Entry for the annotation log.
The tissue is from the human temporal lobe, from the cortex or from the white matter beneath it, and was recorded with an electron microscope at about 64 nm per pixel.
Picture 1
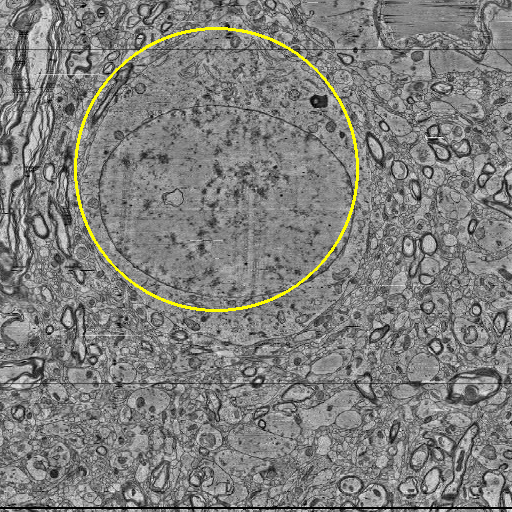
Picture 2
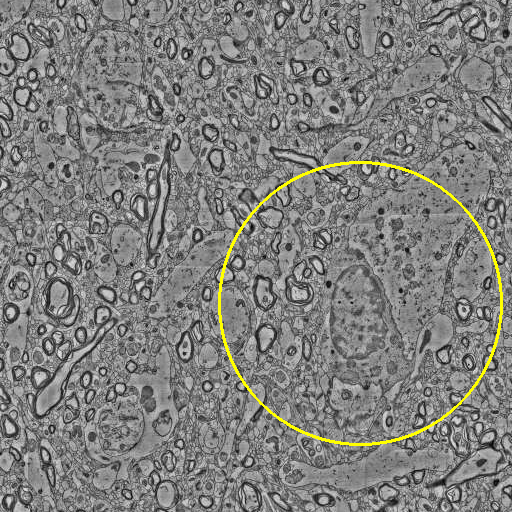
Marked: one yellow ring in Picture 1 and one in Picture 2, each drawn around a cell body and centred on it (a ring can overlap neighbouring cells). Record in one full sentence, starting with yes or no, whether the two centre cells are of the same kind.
No, the two cells are of two kinds.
